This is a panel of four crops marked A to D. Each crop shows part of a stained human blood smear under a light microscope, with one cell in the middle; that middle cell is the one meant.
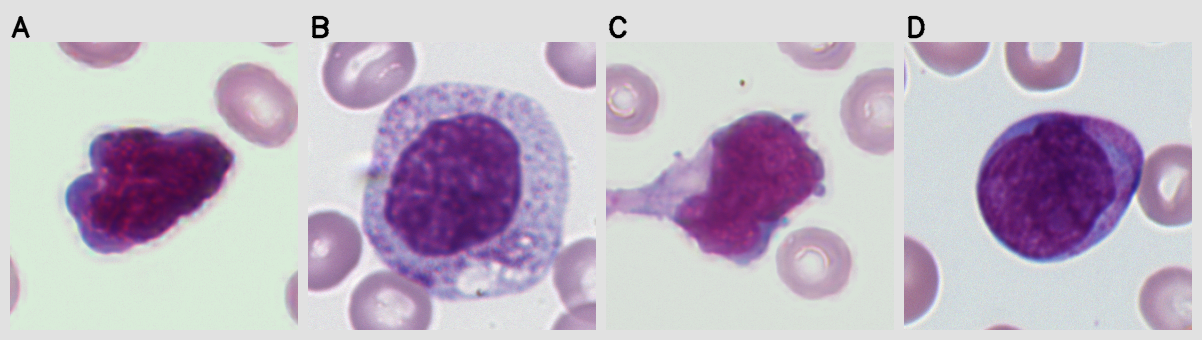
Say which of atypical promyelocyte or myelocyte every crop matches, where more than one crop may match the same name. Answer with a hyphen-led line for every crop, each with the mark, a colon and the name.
- A: atypical promyelocyte
- B: myelocyte
- C: atypical promyelocyte
- D: atypical promyelocyte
